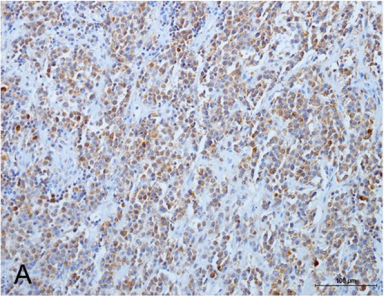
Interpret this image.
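The cells are crowded, each with a round nucleus and a rim of cytoplasm stained light to moderate brown, giving the field a finely granular brown appearance. A few cells are stained more intensely dark brown. The stromal strands run irregularly between the cell groups and contain sparse elongated blue nuclei with little or no brown. No glandular lumina are evident; the cells are arranged in solid groups and short cords throughout the field.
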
